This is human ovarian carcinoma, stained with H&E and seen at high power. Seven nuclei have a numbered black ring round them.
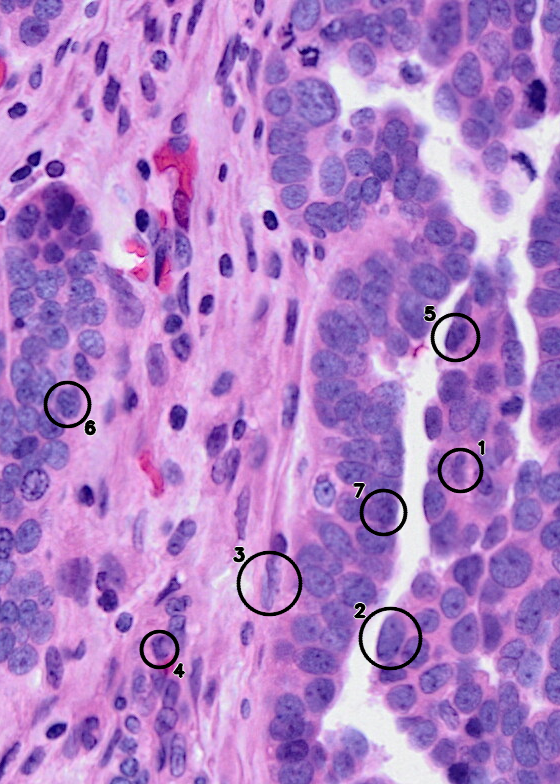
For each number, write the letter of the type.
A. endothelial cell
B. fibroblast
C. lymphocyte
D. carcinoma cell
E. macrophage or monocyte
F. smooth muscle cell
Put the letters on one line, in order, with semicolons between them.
E; D; B; A; D; D; D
